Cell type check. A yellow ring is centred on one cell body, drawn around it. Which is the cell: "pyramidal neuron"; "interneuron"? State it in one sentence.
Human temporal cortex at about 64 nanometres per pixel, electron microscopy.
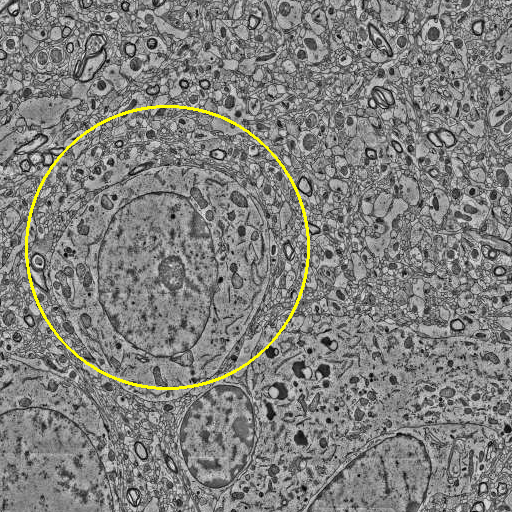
The cell body at the ring's centre belongs to an interneuron.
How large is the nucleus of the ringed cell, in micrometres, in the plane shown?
The nucleus appears roughly 11 by 8 micrometres in this plane.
